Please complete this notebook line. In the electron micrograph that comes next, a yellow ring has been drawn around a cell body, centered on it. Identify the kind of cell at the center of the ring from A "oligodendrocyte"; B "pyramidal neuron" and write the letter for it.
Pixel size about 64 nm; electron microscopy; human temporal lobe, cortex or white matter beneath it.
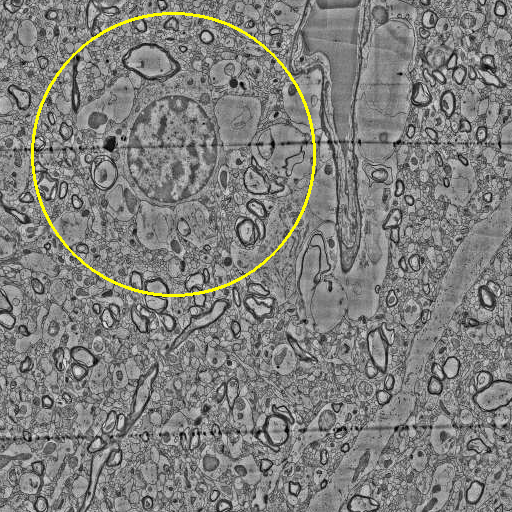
A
